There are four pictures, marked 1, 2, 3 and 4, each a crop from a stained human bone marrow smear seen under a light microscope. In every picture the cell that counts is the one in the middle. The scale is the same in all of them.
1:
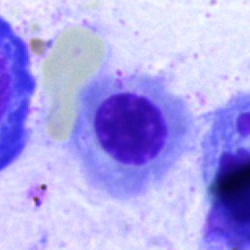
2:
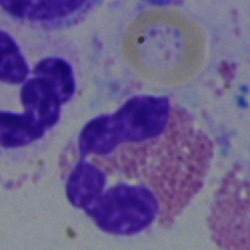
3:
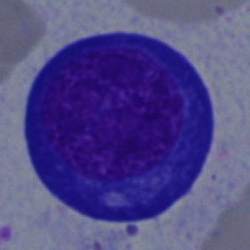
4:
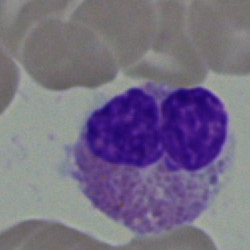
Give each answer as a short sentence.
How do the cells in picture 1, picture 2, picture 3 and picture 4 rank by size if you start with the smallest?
Going up, they run 2, 1, 4, 3.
